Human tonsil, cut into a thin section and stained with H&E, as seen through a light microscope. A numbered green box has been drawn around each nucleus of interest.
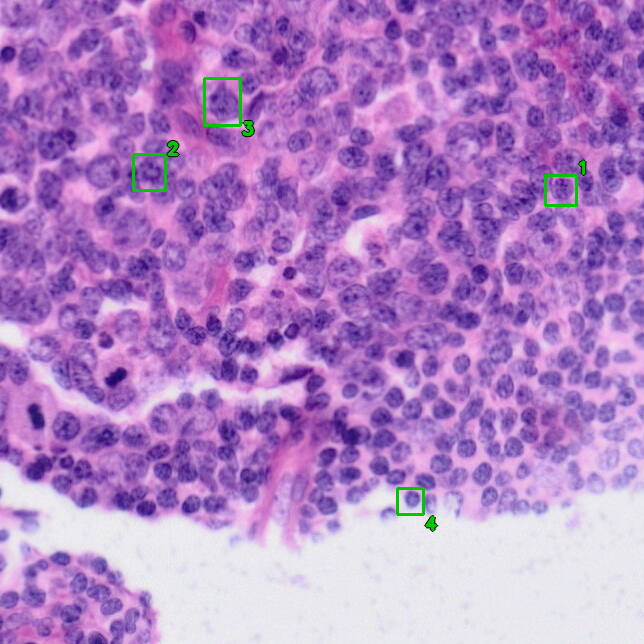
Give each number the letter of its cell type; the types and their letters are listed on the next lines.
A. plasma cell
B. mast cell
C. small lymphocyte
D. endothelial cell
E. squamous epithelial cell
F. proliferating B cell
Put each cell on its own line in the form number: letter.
1: F
2: F
3: F
4: C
